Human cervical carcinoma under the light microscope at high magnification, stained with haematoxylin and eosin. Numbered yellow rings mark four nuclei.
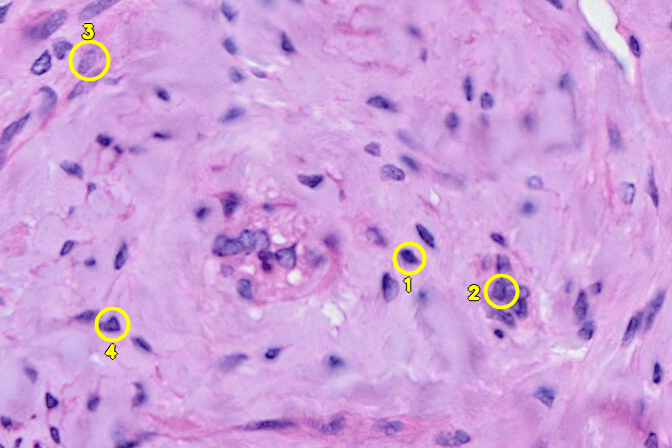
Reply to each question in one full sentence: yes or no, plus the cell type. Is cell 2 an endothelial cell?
Yes, the numbered cell 2 is identified as an endothelial cell.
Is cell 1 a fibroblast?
Yes, the numbered nucleus 1 is that of a fibroblast.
